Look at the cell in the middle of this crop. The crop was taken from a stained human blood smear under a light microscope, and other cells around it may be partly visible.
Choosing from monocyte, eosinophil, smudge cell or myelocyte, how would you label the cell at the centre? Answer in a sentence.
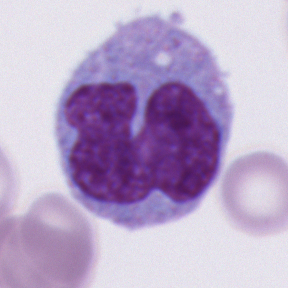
The middle cell in this particular crop is a monocyte.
